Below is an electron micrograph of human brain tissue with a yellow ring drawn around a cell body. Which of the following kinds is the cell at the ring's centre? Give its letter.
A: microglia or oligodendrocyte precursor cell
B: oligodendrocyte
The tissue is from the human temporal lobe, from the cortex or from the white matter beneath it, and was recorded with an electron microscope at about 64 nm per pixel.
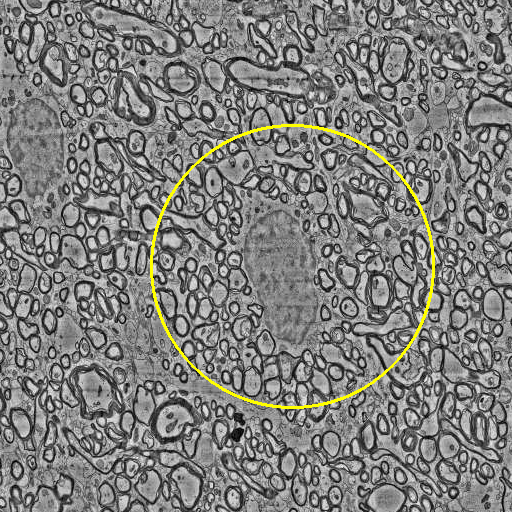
B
